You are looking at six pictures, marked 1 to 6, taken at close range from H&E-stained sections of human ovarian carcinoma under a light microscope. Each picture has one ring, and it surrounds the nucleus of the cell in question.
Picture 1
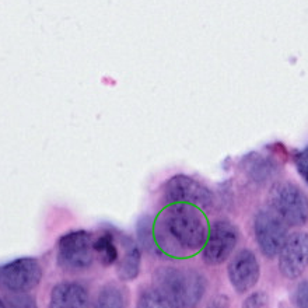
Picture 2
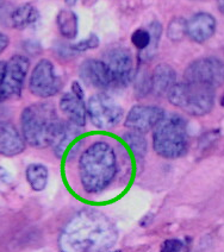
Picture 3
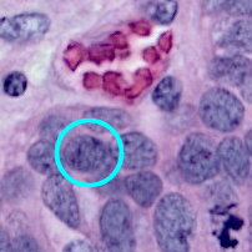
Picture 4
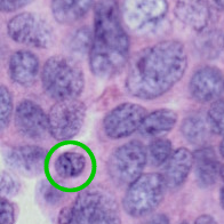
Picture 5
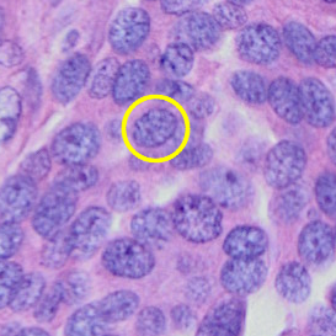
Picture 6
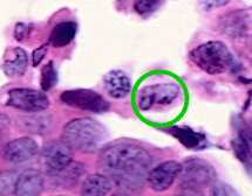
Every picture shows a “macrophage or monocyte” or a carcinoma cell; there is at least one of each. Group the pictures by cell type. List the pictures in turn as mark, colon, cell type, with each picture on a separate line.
1: carcinoma cell
2: carcinoma cell
3: carcinoma cell
4: macrophage or monocyte
5: carcinoma cell
6: macrophage or monocyte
